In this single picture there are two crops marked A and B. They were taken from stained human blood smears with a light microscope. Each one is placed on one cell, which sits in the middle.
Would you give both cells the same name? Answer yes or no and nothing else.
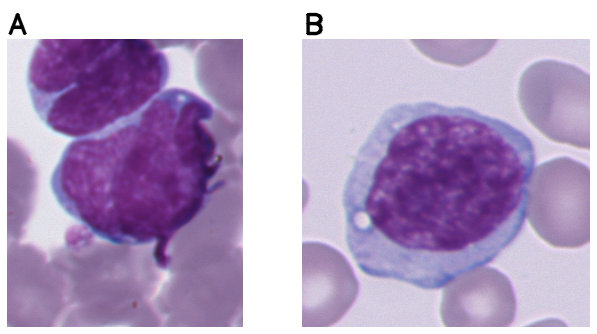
yes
